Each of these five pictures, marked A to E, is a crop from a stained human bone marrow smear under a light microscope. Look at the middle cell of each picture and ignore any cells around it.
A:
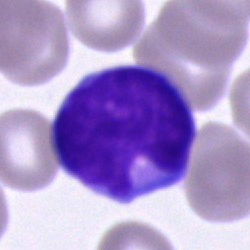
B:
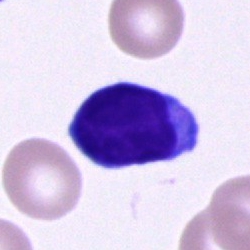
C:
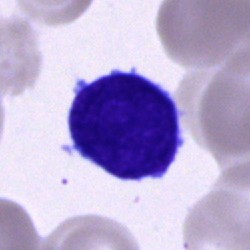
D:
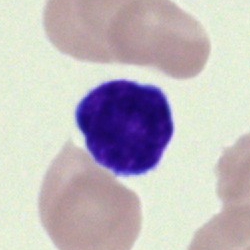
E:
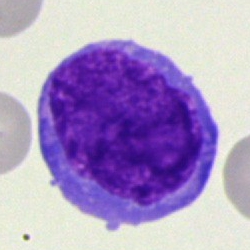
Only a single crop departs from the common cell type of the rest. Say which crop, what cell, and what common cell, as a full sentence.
All the crops show lymphocytes except crop E, which shows a blast.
